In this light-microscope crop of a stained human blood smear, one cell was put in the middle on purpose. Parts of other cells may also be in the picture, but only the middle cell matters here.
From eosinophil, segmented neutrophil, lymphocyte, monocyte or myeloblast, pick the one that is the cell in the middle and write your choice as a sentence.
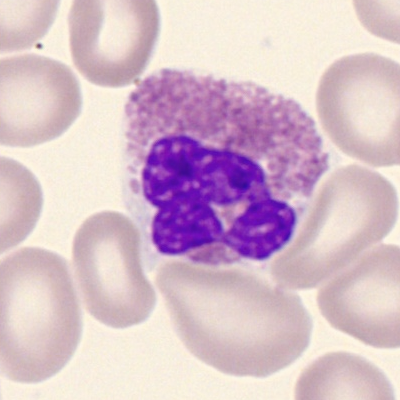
At the center of the crop sits an eosinophil.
